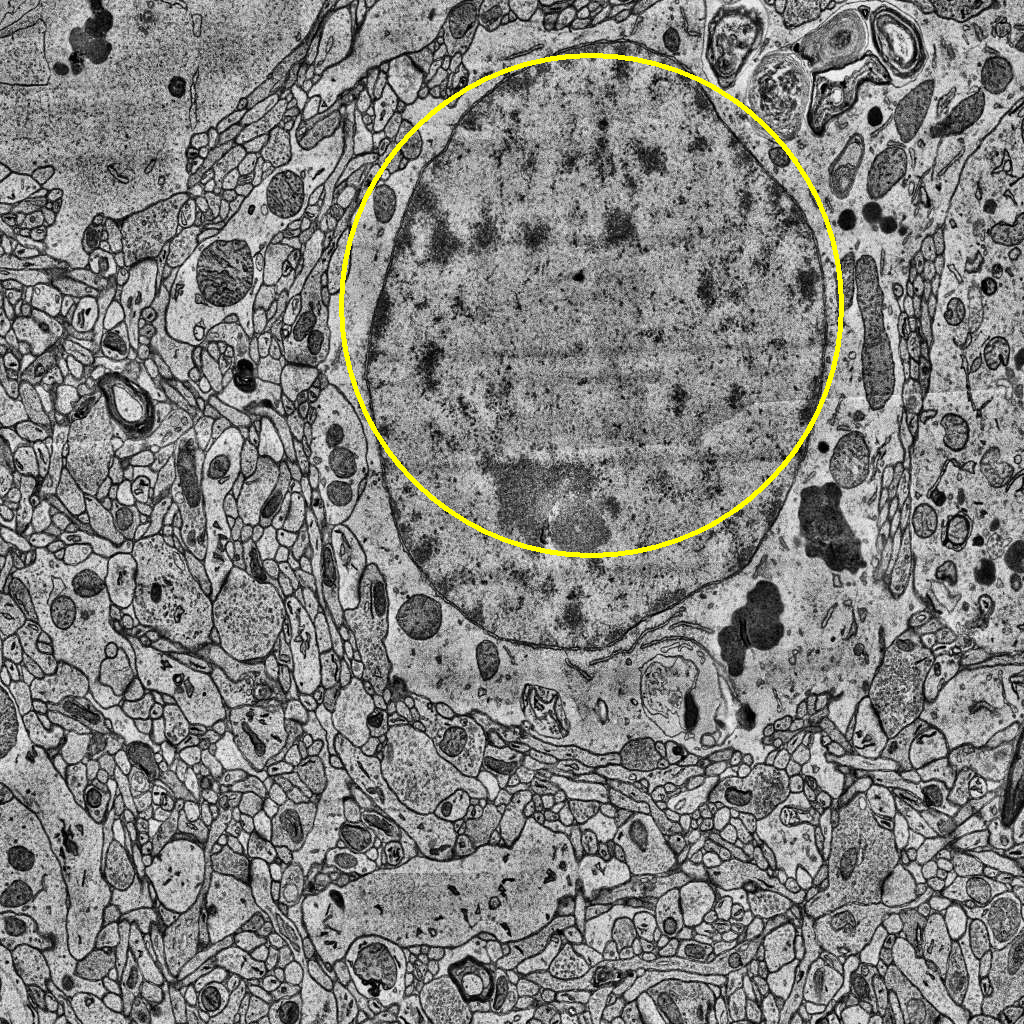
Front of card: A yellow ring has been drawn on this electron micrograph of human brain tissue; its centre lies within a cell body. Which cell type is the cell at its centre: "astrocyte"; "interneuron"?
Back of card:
astrocyte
